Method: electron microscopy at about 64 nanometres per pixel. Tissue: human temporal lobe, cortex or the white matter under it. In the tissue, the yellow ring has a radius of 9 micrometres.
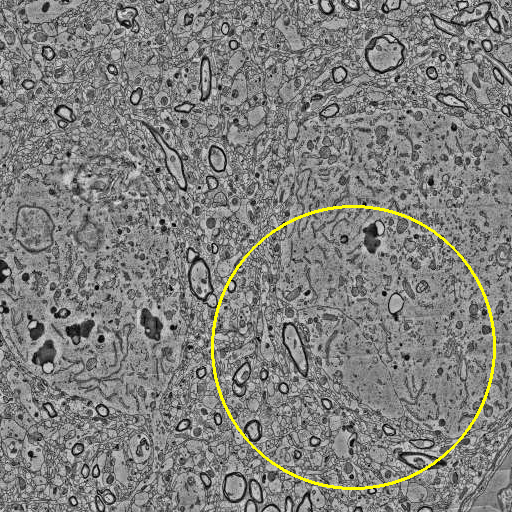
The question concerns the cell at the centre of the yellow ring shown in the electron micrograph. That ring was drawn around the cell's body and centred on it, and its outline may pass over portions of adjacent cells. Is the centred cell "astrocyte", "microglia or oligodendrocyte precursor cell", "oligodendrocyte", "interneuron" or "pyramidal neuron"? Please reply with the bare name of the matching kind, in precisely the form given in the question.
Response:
microglia or oligodendrocyte precursor cell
